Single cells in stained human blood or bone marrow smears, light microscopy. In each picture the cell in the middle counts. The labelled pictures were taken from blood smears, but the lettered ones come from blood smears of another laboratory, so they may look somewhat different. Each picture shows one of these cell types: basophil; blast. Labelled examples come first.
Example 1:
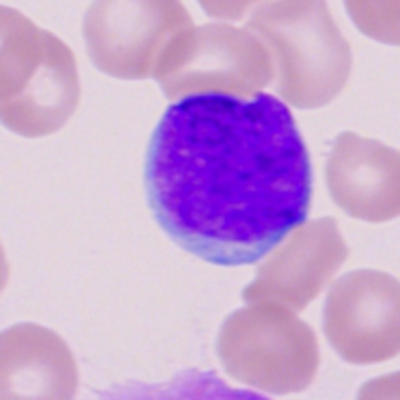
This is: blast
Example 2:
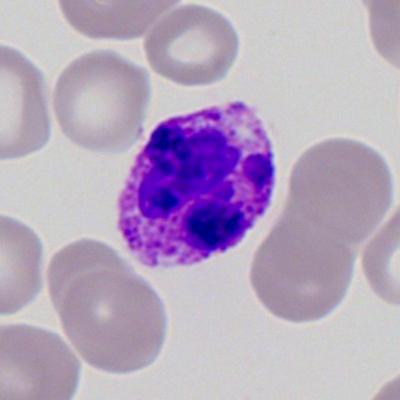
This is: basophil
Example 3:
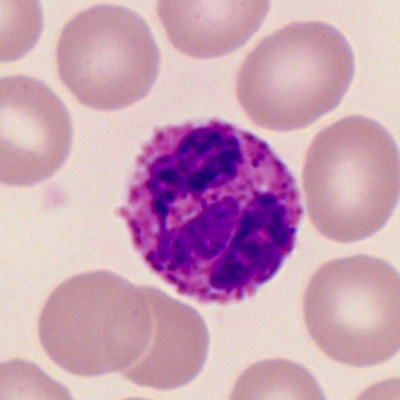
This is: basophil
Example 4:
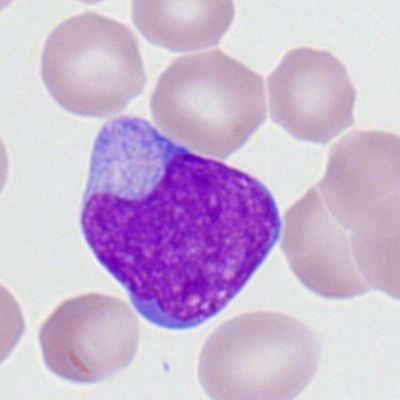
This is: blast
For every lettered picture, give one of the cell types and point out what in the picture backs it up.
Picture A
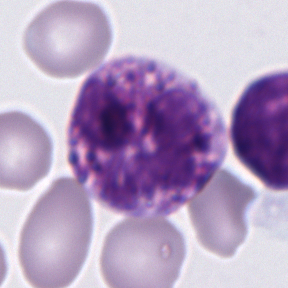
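Answer: basophil. The nucleus shows two lobes lying side by side, left and right.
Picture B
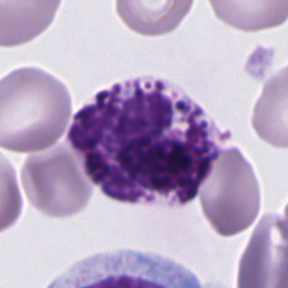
Answer: basophil. The cytoplasm visible at the margins is pale and nearly colourless.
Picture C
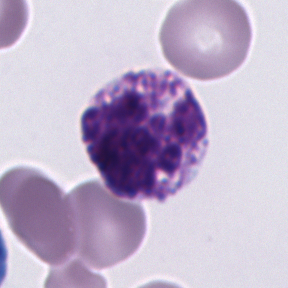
Answer: basophil. The nucleus is largely hidden beneath overlying granules.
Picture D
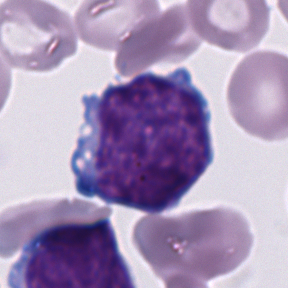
Answer: blast. The cytoplasm is deep blue.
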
